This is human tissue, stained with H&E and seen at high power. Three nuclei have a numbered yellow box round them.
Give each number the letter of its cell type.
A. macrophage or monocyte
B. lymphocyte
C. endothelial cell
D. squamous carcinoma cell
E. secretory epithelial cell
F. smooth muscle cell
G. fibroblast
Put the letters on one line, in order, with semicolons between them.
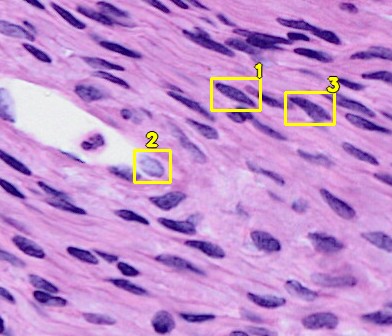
G; C; G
